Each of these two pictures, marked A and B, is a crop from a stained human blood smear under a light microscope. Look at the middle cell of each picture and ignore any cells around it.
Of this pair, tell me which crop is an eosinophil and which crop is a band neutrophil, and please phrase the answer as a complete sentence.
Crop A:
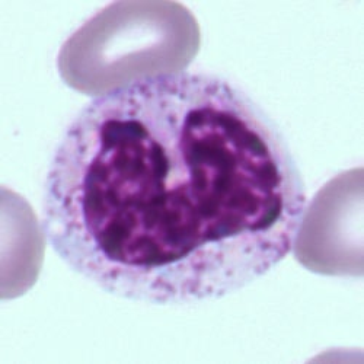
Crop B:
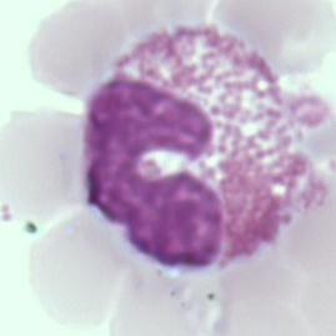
Crop A is a band neutrophil, whilst crop B is an eosinophil.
